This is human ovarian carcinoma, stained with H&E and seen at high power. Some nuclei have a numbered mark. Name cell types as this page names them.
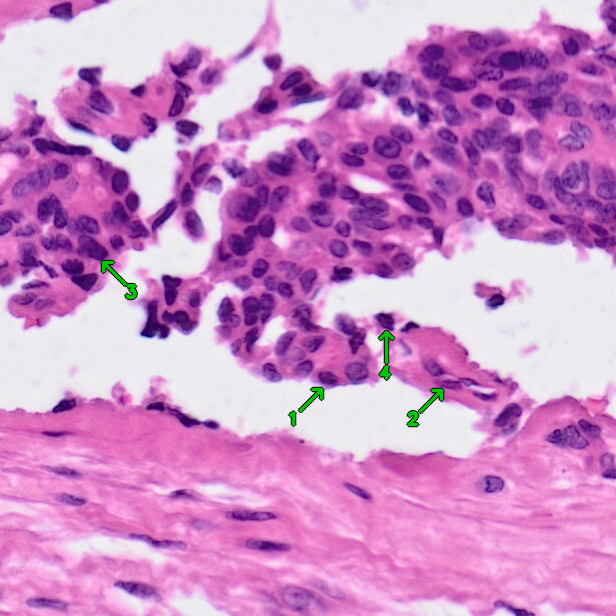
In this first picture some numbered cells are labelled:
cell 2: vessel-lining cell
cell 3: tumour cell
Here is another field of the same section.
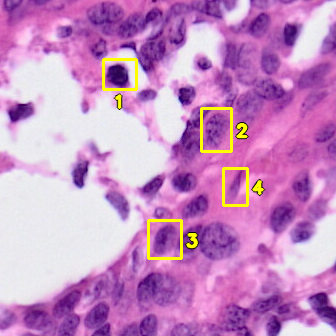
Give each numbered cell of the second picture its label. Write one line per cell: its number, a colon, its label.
1: tumour cell
2: tumour cell
3: tumour cell
4: vessel-lining cell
